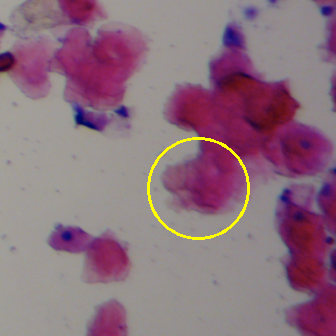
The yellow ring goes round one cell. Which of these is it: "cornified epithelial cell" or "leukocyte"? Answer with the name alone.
cornified epithelial cell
